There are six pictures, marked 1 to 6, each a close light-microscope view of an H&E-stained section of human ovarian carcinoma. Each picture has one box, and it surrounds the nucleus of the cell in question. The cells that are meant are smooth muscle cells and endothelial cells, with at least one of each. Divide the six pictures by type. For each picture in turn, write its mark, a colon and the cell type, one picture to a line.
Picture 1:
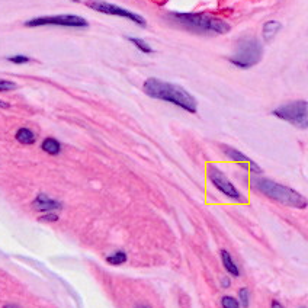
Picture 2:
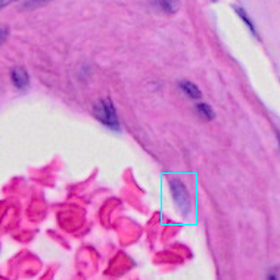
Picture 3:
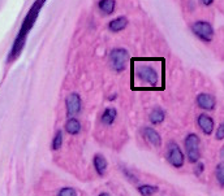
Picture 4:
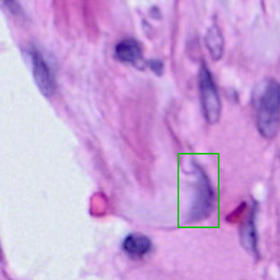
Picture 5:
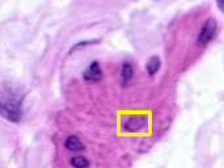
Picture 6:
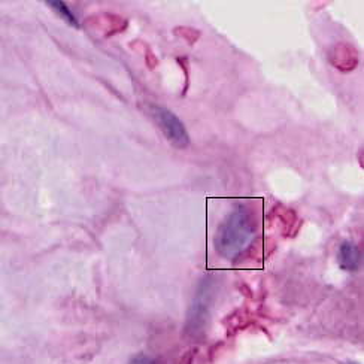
1: smooth muscle cell
2: endothelial cell
3: smooth muscle cell
4: endothelial cell
5: smooth muscle cell
6: endothelial cell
